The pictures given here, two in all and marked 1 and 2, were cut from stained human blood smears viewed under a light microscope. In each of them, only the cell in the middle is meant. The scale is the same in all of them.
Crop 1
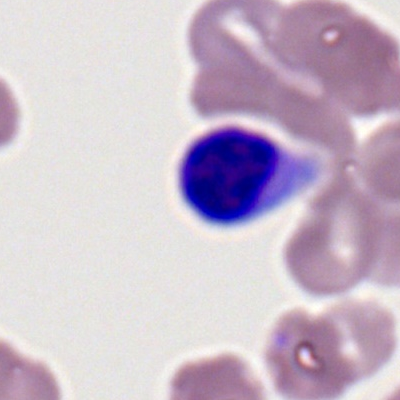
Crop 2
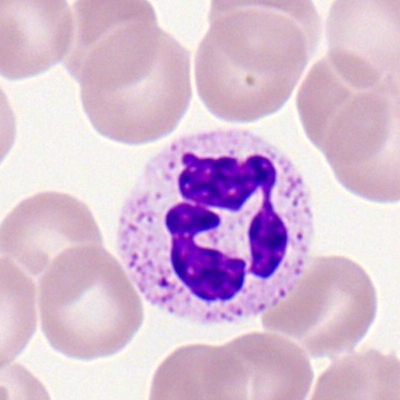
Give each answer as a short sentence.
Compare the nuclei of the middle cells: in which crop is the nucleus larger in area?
Crop 2 shows the larger nucleus; it covers about 1.5 times the area of the nucleus in crop 1.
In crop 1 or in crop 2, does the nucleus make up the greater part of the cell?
It is the cell in crop 1 that is filled more by its nucleus.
